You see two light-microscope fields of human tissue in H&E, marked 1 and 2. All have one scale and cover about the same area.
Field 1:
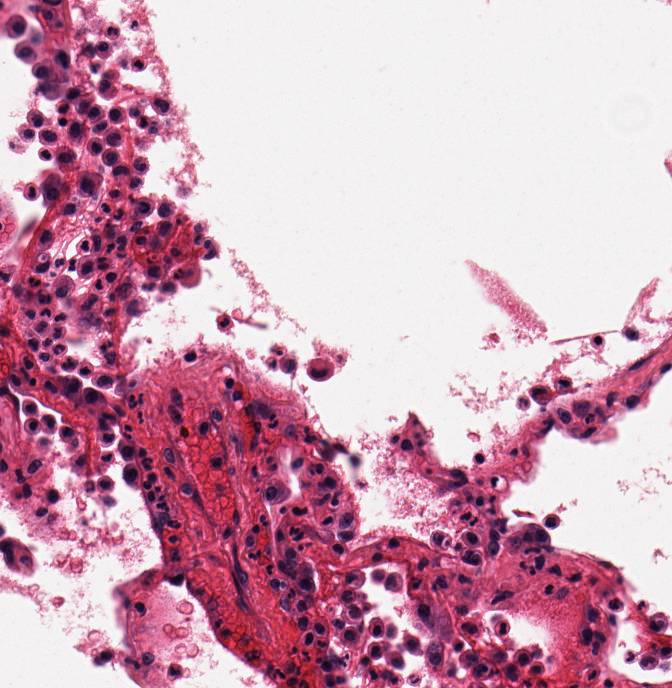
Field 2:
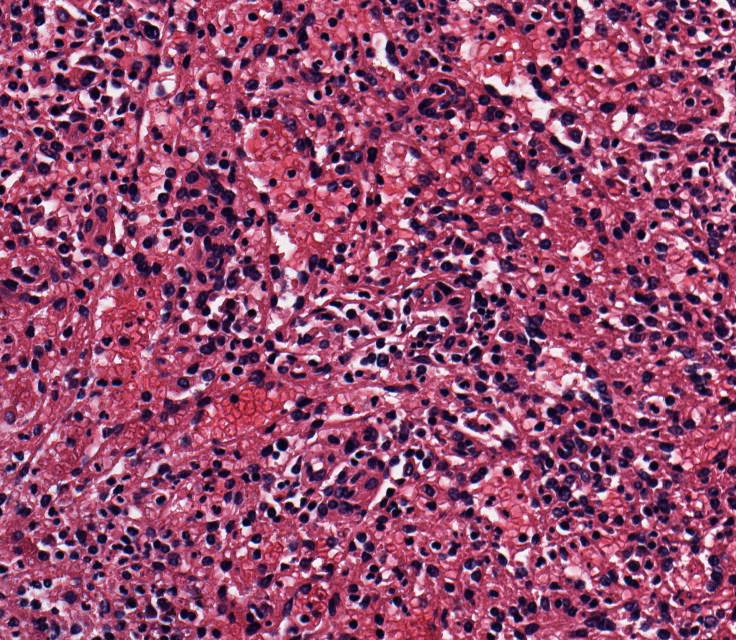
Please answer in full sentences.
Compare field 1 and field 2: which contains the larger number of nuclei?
Field 2 holds more nuclei than field 1.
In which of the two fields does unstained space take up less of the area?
Unstained space takes up less of field 2 than of field 1.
